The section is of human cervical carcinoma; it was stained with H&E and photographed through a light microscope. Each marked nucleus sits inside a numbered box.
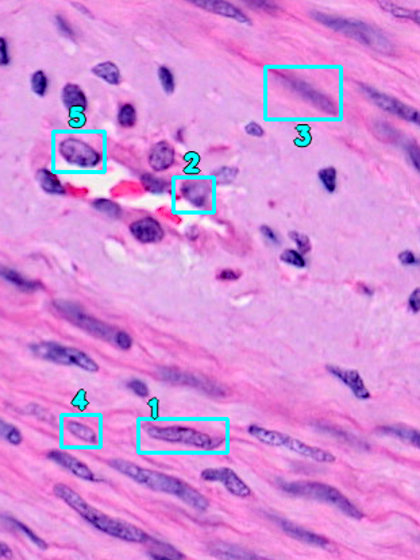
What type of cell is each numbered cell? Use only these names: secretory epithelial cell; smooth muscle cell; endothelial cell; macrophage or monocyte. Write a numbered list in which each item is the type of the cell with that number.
1. smooth muscle cell
2. endothelial cell
3. smooth muscle cell
4. smooth muscle cell
5. endothelial cell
